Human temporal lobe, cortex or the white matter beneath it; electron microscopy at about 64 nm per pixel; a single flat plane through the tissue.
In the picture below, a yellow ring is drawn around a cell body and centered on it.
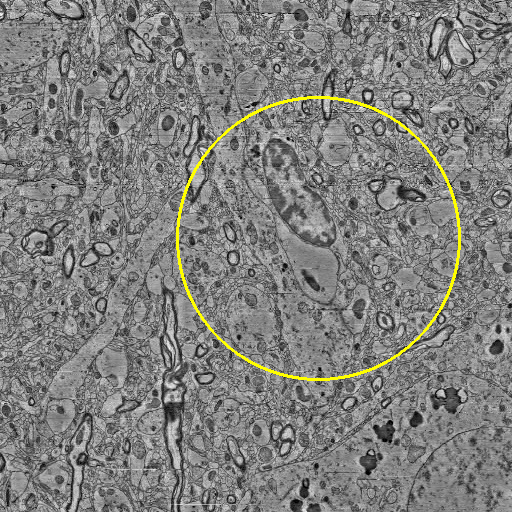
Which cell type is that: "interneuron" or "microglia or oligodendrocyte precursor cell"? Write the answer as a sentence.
The cell centered in the ring is a microglial cell or oligodendrocyte precursor cell.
